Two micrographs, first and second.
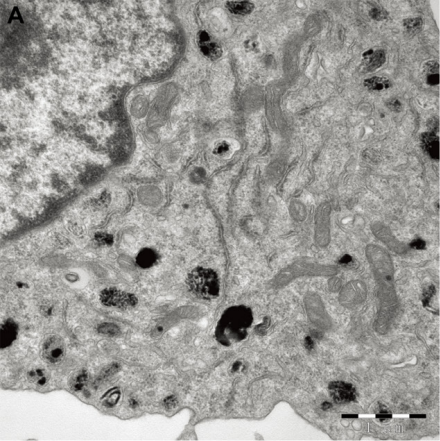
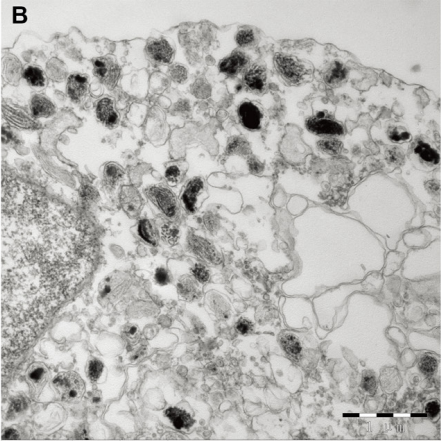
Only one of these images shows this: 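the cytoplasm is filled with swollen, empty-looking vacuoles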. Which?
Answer: the second image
